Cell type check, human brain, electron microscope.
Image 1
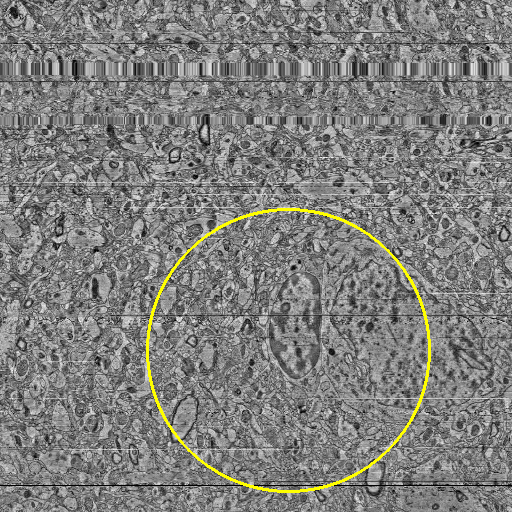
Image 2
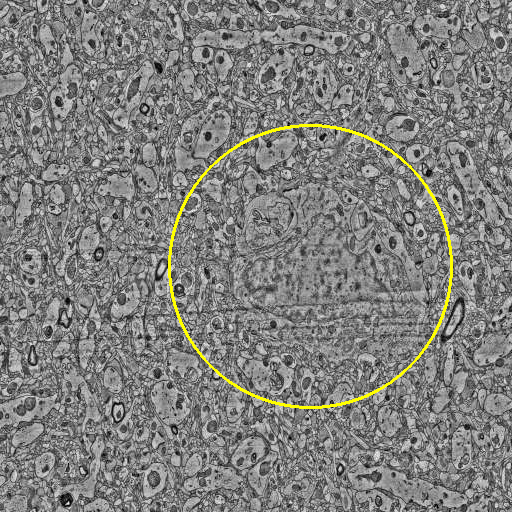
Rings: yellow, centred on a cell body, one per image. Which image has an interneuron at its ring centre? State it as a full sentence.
The ring in Image 2 is centred on it.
